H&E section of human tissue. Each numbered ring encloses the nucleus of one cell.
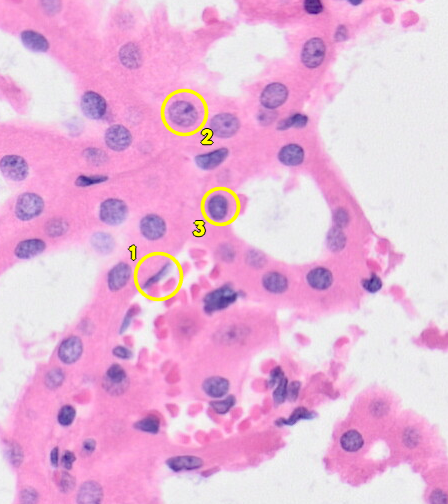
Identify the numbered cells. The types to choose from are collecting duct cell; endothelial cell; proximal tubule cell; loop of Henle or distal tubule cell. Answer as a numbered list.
1. endothelial cell
2. proximal tubule cell
3. loop of Henle or distal tubule cell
